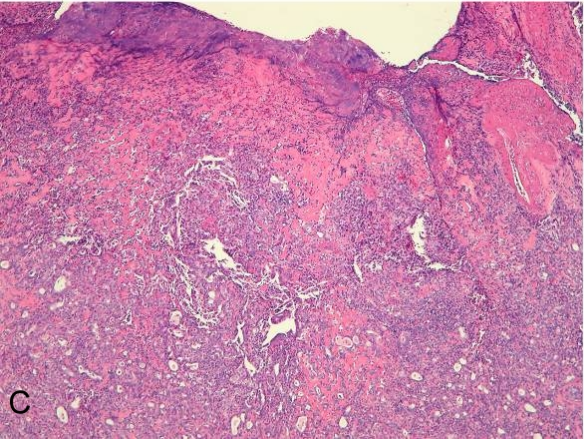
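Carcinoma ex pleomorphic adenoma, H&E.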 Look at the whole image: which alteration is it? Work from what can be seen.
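The upper surface lacks an intact epithelial lining. A dark purple layer of inflammatory debris and haemorrhage covers the surface.
Hence: ulcerative epithelial surface.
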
